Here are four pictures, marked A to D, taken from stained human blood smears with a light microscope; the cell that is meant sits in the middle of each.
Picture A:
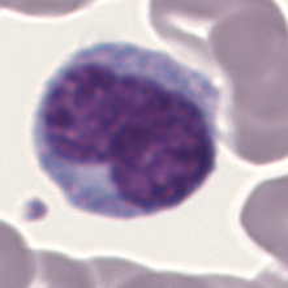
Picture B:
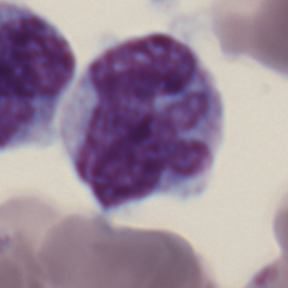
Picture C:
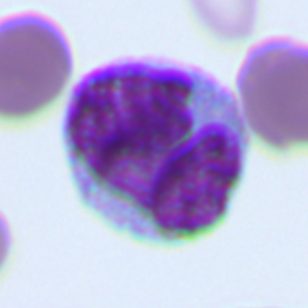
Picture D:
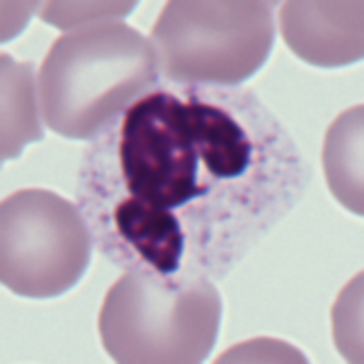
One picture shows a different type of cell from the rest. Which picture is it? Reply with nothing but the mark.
D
